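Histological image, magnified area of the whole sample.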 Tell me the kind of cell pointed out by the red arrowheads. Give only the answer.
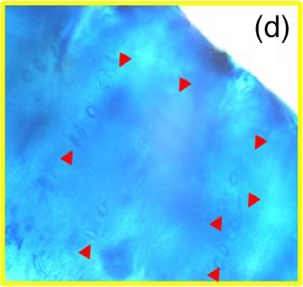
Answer: Chondrocytes.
